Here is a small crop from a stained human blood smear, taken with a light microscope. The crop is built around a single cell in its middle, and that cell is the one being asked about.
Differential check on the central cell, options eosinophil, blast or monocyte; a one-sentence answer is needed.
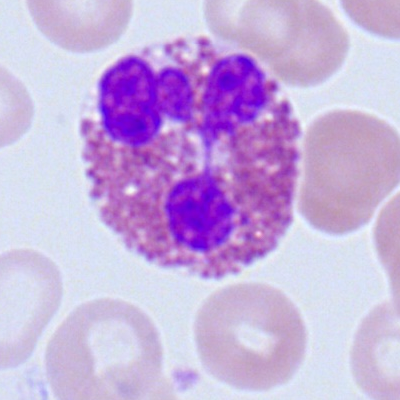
On this slide crop, the central cell is an eosinophil.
